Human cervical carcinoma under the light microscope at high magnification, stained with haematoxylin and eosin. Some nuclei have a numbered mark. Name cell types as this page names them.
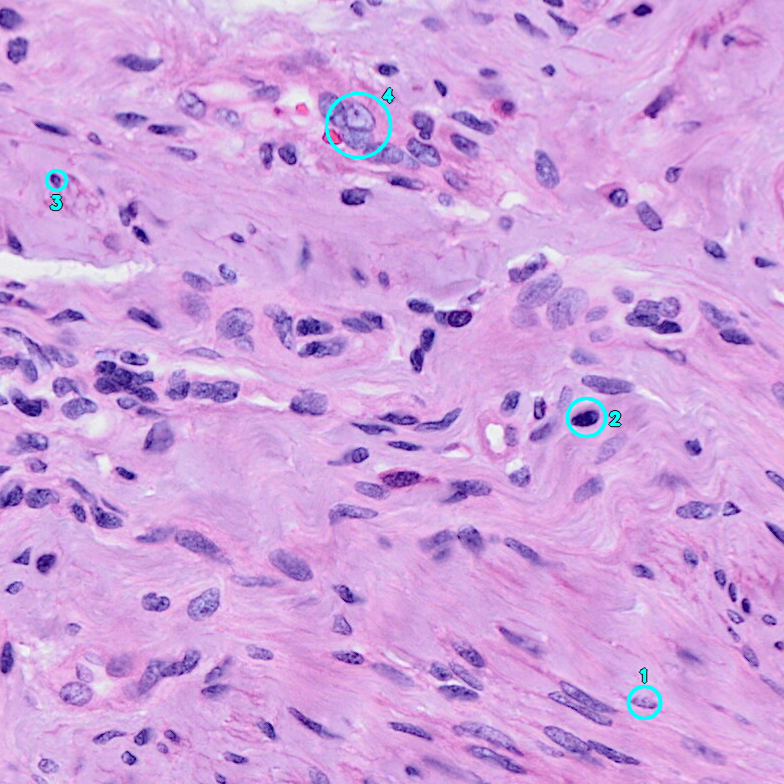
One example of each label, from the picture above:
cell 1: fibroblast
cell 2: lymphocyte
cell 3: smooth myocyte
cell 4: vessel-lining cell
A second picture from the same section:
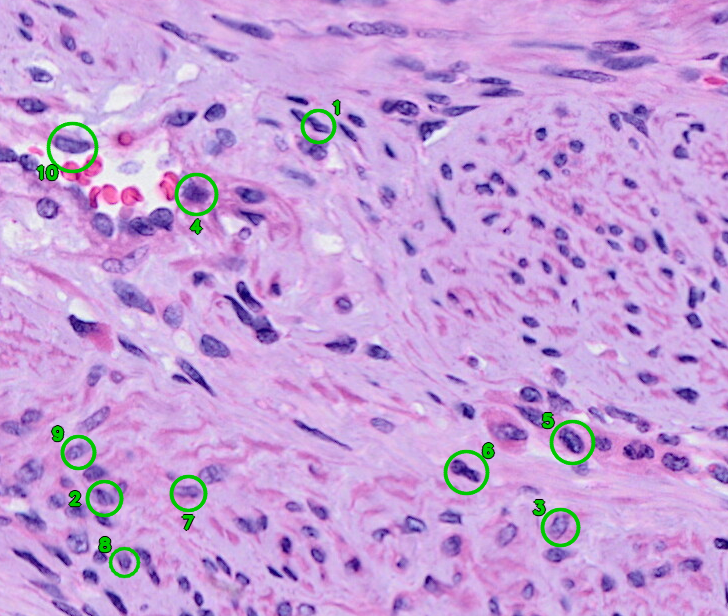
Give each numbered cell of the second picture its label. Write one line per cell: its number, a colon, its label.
1: fibroblast
2: smooth myocyte
3: smooth myocyte
4: vessel-lining cell
5: vessel-lining cell
6: lymphocyte
7: smooth myocyte
8: smooth myocyte
9: smooth myocyte
10: vessel-lining cell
